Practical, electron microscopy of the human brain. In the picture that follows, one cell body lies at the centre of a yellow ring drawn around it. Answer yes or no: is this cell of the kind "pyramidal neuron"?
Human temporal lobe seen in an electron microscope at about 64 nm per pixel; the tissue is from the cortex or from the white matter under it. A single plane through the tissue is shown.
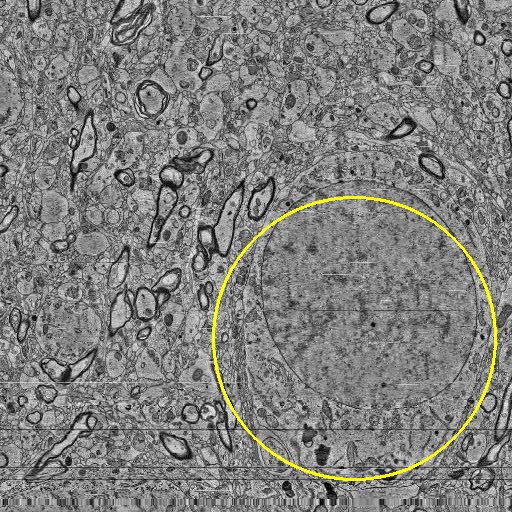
yes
